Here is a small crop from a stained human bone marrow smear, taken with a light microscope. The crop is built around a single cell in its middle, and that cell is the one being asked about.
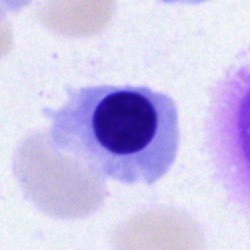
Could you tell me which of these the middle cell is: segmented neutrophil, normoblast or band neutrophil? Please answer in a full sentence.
The cell of interest, in the center, is a normoblast.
